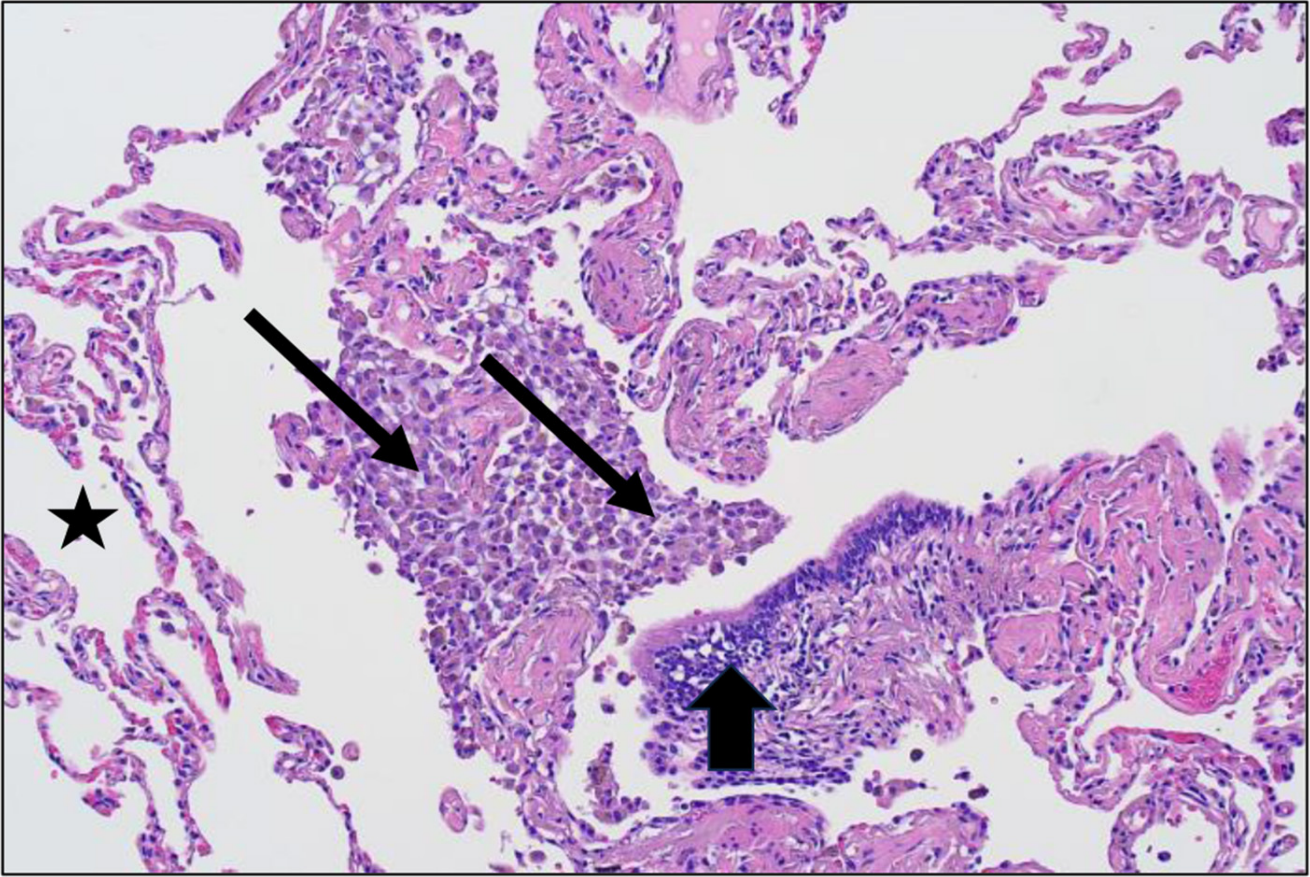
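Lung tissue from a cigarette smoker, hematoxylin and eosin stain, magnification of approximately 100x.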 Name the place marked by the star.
Alveolar region.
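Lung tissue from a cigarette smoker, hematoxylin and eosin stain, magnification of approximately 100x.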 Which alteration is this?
respiratory bronchiolitis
